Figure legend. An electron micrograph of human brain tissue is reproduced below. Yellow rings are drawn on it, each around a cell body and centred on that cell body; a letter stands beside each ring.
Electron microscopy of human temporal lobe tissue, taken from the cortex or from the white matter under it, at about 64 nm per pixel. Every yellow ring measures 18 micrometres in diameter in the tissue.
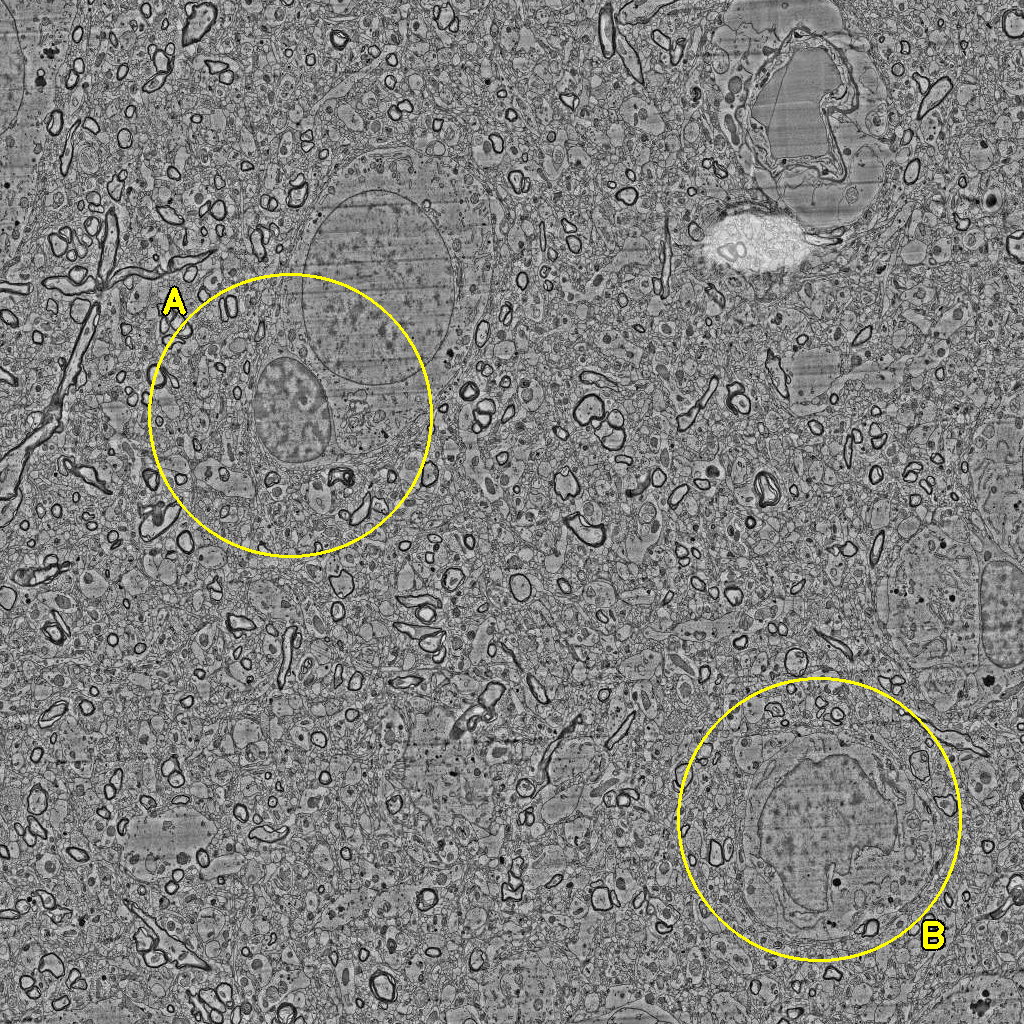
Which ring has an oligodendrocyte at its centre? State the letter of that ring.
A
